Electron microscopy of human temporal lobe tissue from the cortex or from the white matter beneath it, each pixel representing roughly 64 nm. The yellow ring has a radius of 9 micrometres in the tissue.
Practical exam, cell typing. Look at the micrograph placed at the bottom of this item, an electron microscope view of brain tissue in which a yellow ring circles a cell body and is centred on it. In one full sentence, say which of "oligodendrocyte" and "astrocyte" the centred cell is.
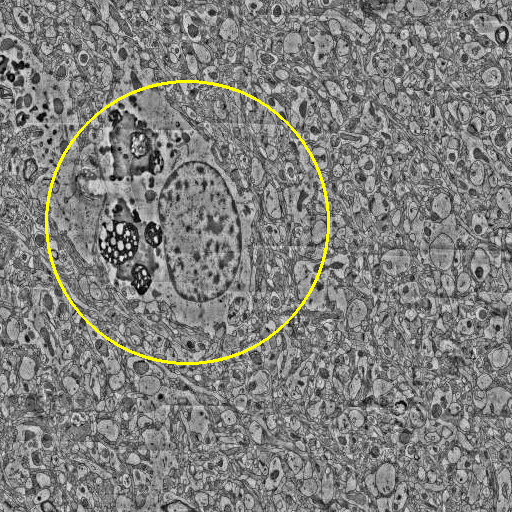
Given the options, an astrocyte fits the cell whose body the yellow ring is centred on.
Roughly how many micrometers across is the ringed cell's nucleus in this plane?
The nucleus is about 9 micrometres in length and 5 in width, clearly longer than it is wide in this plane.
